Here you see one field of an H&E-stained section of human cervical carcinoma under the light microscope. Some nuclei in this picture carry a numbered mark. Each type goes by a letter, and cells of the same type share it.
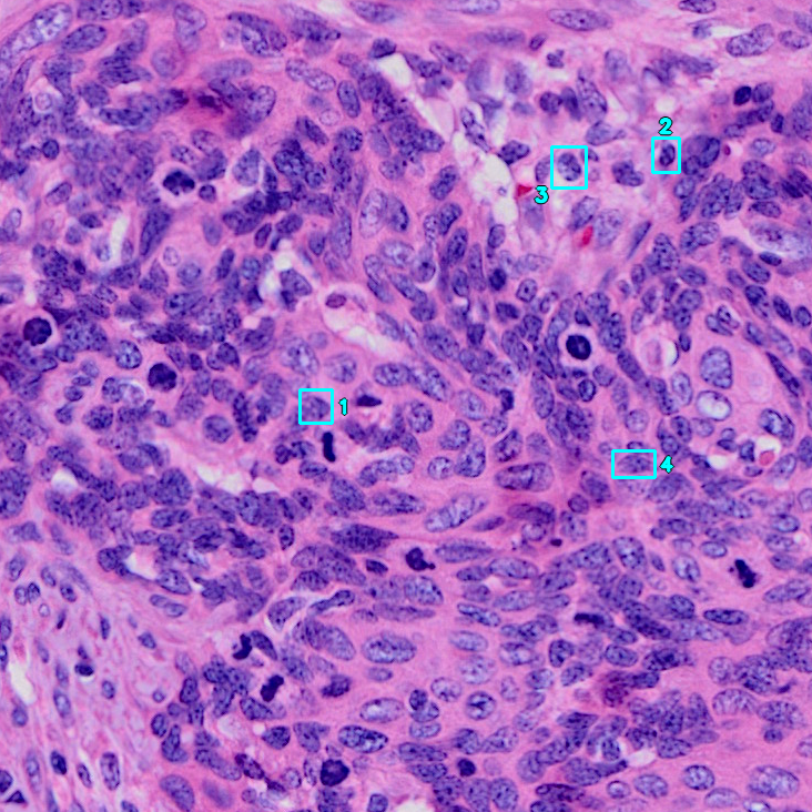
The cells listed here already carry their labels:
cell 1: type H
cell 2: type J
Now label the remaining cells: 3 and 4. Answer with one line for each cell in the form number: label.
3: type J
4: type H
